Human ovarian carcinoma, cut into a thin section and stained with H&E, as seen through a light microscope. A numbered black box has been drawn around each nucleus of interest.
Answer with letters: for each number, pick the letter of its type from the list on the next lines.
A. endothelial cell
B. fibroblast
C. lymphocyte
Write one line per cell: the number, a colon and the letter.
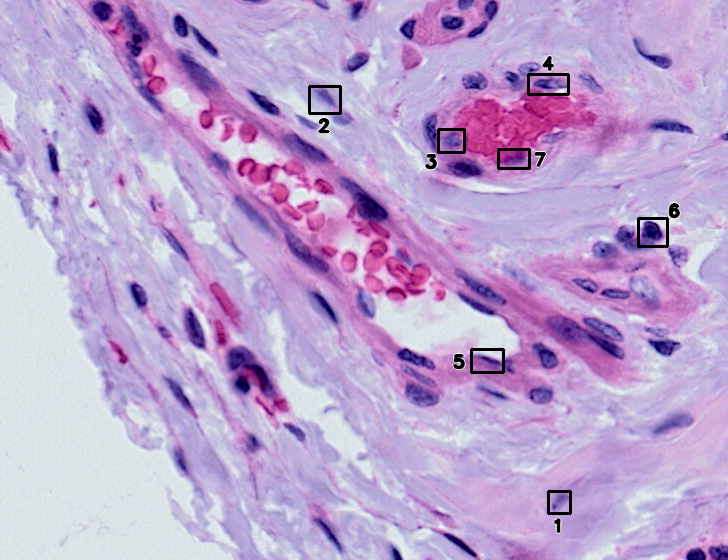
1: B
2: B
3: A
4: A
5: A
6: C
7: A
